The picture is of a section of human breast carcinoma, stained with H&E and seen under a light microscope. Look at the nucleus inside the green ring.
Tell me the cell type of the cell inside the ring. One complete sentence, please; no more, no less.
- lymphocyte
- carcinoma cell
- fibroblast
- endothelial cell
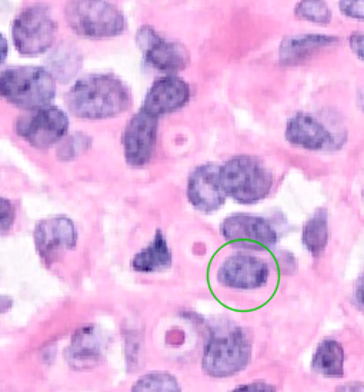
In the context of this tissue, the cell inside the ring is a carcinoma cell.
